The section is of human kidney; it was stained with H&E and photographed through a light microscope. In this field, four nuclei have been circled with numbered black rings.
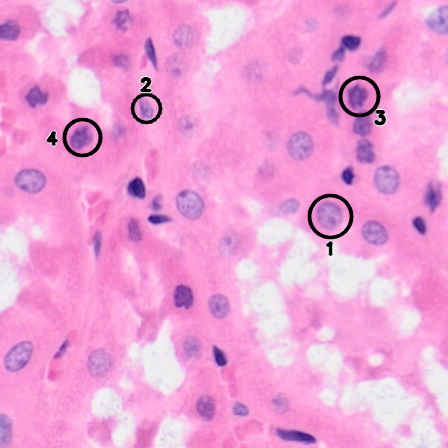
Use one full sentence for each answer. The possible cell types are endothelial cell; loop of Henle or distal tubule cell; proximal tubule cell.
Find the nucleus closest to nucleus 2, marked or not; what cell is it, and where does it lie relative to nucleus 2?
The nearest nucleus is that of a proximal tubule cell and lies below and to the left of nucleus 2.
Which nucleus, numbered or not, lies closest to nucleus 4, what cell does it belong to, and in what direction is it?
A proximal tubule cell lies closest, to the right of nucleus 4.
